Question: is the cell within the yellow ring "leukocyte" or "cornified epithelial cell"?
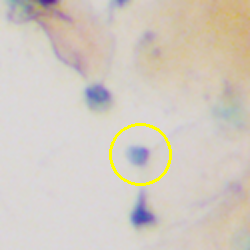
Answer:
leukocyte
